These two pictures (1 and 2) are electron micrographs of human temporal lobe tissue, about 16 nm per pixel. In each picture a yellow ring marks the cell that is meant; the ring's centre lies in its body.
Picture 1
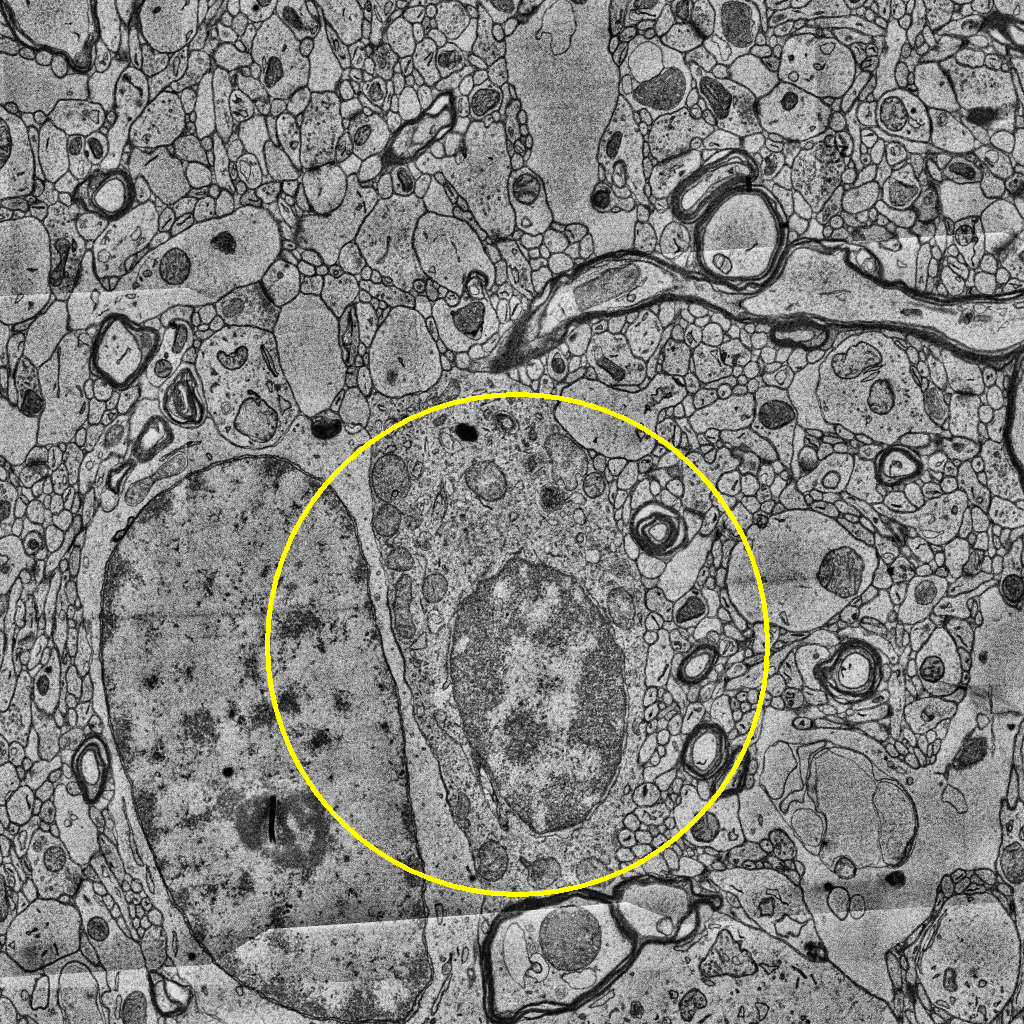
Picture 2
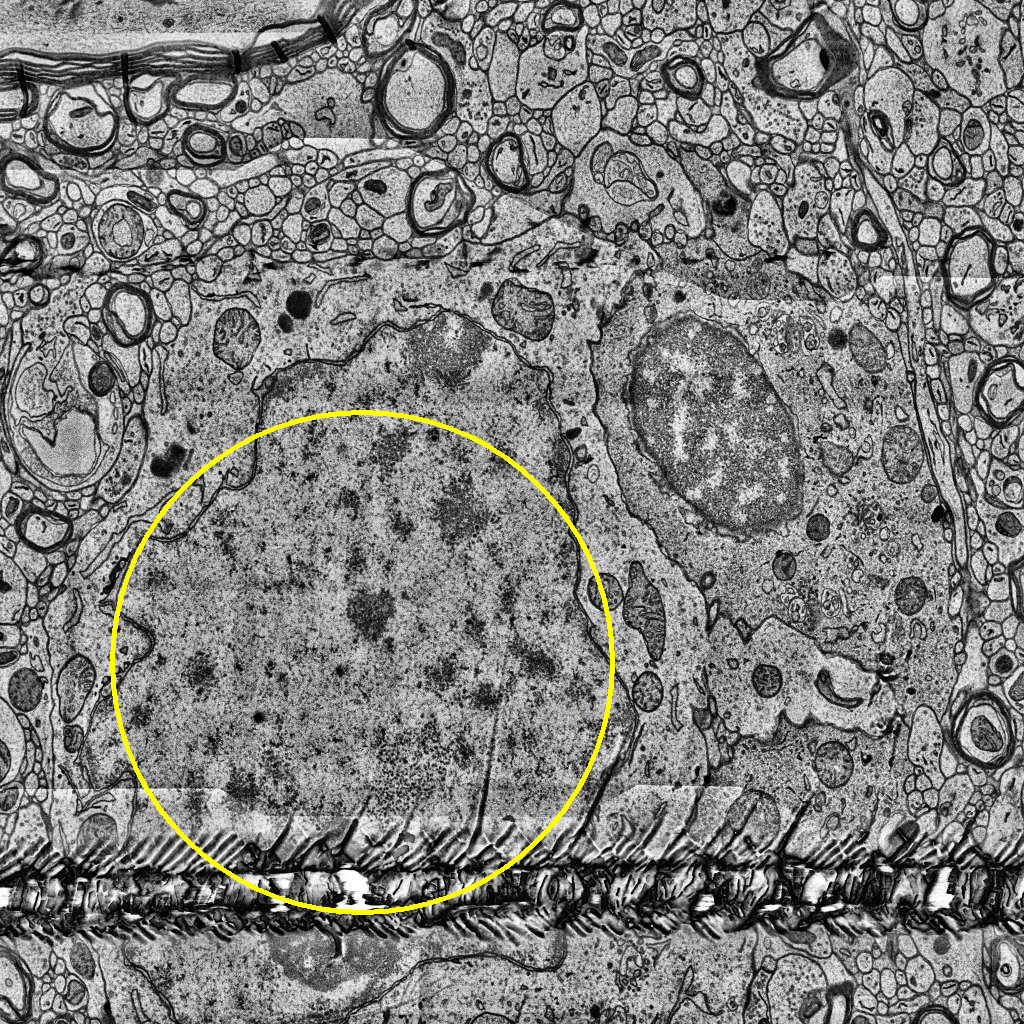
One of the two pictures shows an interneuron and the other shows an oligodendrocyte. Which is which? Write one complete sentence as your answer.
Picture 2 shows an interneuron, while picture 1 shows an oligodendrocyte.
